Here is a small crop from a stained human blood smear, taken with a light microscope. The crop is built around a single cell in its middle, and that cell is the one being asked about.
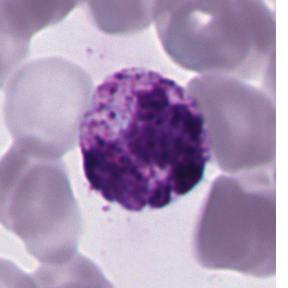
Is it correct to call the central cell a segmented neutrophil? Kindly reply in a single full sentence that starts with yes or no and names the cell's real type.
No, what is seen at the centre is a basophil instead of a segmented neutrophil.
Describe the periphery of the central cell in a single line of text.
Irregularity marks the cell border, whether as raggedness or as projections.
